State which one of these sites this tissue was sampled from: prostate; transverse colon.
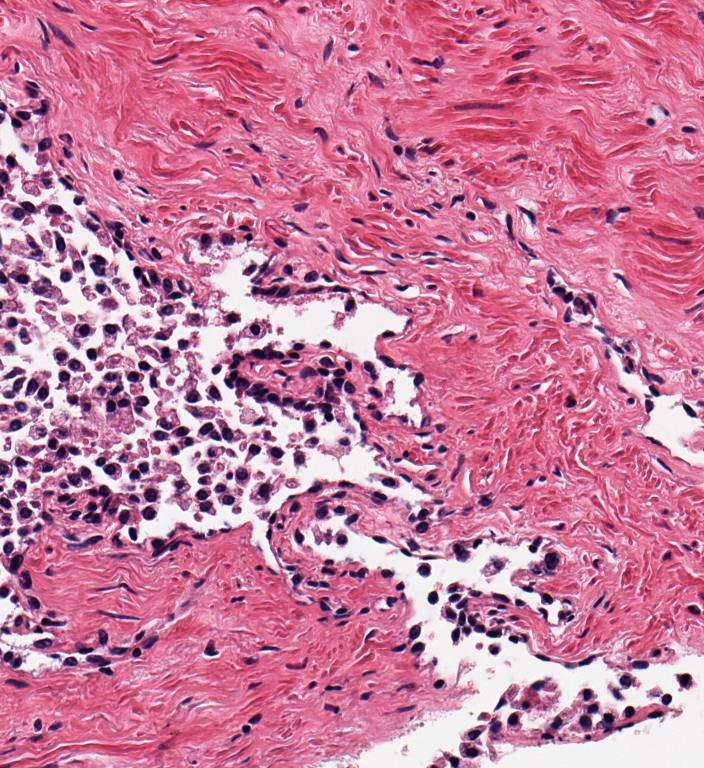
prostate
